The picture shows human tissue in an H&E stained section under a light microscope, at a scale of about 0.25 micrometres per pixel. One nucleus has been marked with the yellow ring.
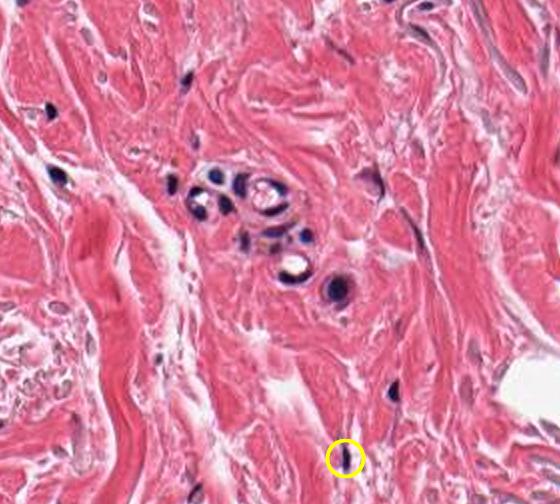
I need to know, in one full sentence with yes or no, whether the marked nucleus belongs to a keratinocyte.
No, the marked nucleus is not that of a keratinocyte but that of a supporting cell.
